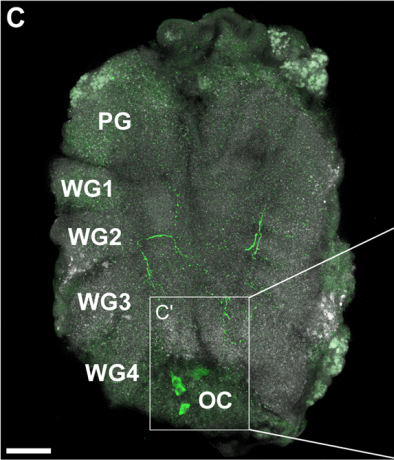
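The leg ganglia appear as rounded lobes stacked one behind another along the lateral margin. At the posterior end, in the fused opisthosomal ganglia, small clusters of brightly green cell bodies lie close to the midline. Thin green fibres run through the central neuropil, and clusters of large rounded cells appear as pale blobs at the outer edges.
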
